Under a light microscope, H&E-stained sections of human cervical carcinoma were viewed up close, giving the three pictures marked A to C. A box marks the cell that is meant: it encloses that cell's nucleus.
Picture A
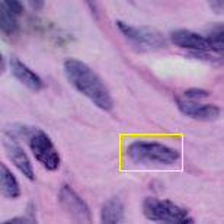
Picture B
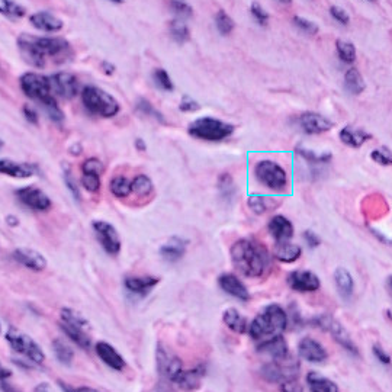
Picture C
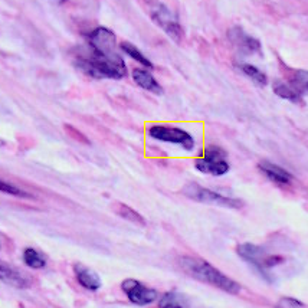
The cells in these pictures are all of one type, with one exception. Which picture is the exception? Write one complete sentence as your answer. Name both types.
The others show lymphocytes, but picture A shows a fibroblast.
